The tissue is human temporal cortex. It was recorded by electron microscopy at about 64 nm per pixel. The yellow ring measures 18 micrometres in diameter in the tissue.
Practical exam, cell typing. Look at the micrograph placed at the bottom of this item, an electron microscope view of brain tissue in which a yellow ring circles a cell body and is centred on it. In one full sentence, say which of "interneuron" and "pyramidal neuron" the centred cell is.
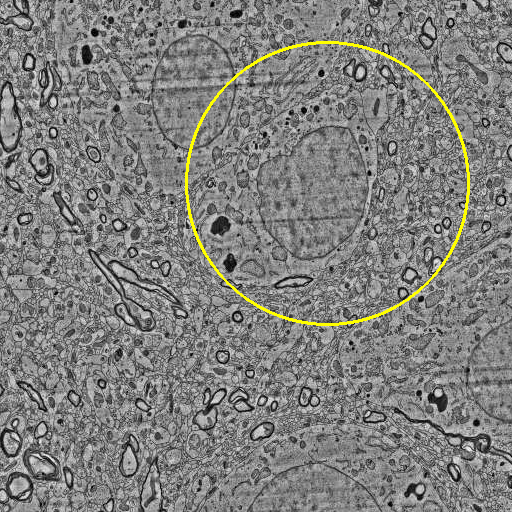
Given the options, a pyramidal neuron fits the cell whose body the yellow ring is centred on.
